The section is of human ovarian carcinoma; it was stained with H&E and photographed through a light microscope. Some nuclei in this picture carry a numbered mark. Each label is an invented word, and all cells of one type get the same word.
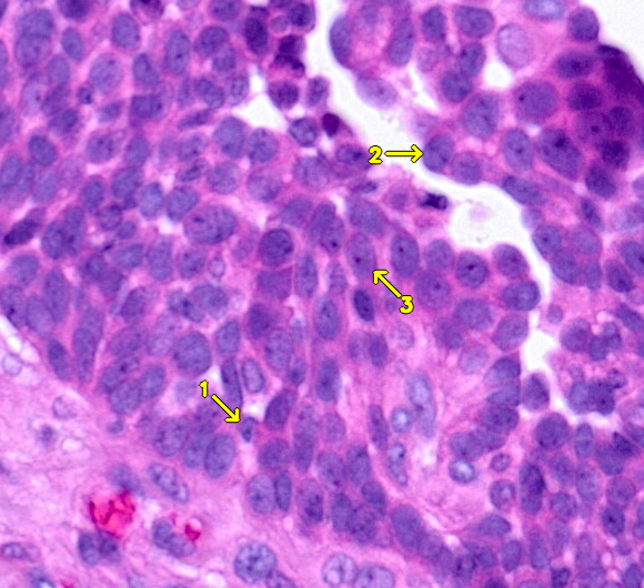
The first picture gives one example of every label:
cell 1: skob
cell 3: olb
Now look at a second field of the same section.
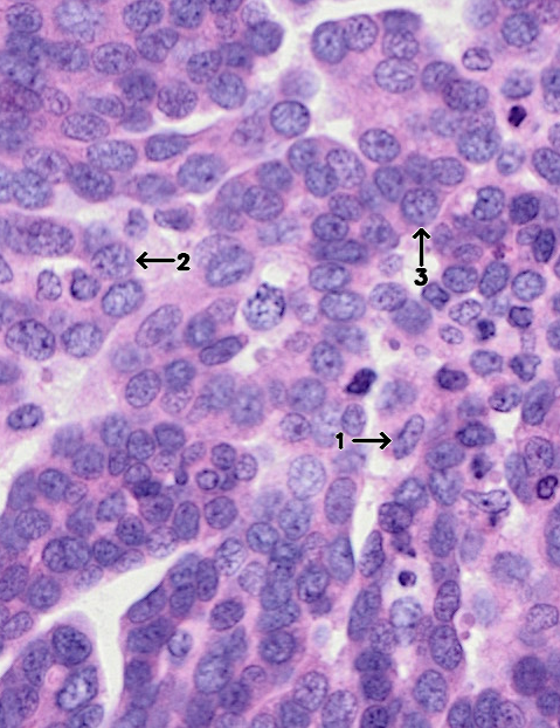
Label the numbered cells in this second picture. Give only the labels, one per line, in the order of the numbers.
skob
olb
olb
